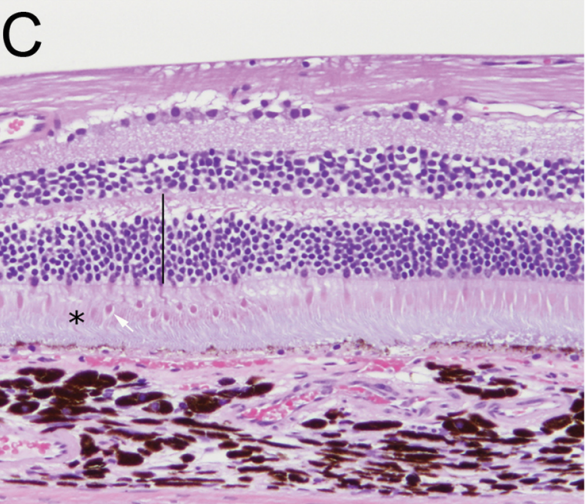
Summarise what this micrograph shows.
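Retina in cross section showing its full layered structure with a mild outer retinal lesion. A thin brown pigmented epithelial line runs beneath, over the choroid with large dark melanin-laden cells and red blood cell-filled vessels. The inner nuclear layer, plexiform layers and ganglion cell layer look intact.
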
